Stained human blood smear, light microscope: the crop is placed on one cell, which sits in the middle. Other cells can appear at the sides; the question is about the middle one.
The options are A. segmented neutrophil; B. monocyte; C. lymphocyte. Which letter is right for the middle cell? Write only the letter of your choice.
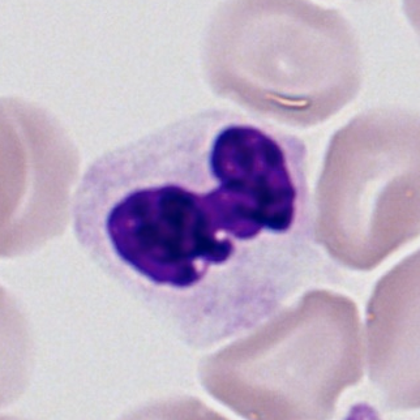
A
